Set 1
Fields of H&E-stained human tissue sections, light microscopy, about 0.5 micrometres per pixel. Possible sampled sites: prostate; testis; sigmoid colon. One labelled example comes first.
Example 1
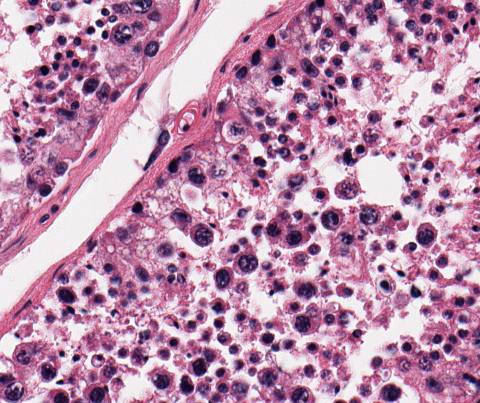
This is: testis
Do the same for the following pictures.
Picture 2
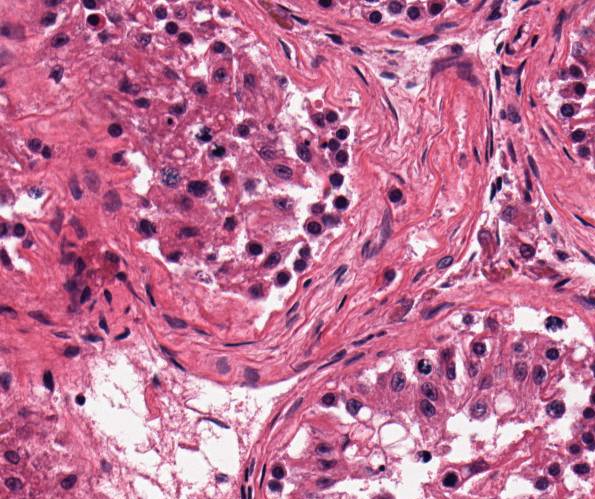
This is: testis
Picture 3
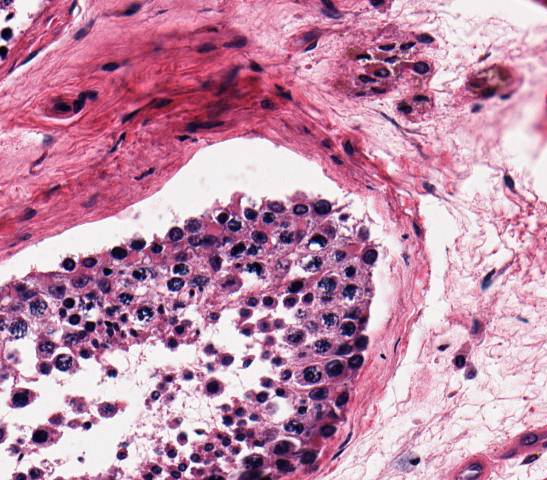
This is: testis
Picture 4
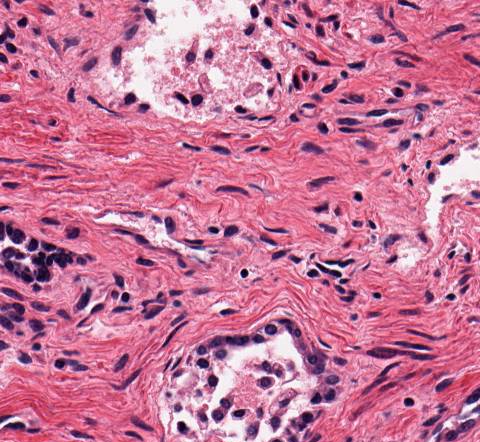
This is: prostate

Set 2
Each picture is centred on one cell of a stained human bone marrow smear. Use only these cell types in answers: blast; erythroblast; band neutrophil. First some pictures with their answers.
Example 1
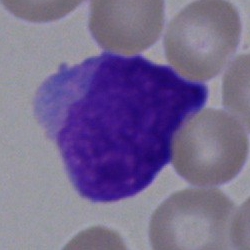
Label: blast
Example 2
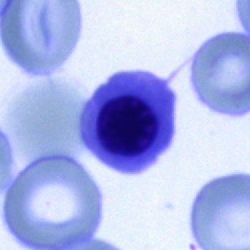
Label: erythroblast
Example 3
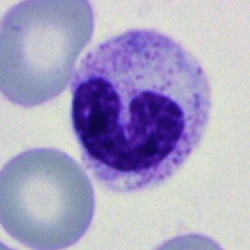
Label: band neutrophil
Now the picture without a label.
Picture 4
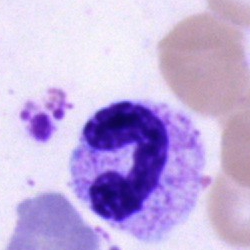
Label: band neutrophil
